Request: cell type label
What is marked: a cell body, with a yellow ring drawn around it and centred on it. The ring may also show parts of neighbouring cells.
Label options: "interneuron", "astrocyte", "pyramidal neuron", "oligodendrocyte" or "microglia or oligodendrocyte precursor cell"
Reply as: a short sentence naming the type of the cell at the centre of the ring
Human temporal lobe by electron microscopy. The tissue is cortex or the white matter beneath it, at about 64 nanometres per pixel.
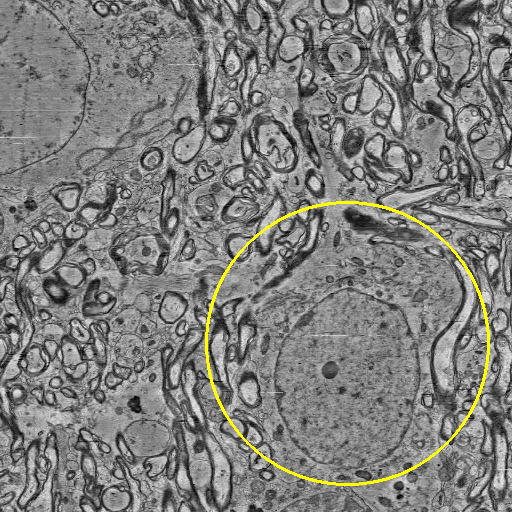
The marked cell body is that of an astrocyte.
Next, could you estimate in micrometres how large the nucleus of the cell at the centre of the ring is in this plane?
Approximately 12 x 9 micrometres in this plane.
